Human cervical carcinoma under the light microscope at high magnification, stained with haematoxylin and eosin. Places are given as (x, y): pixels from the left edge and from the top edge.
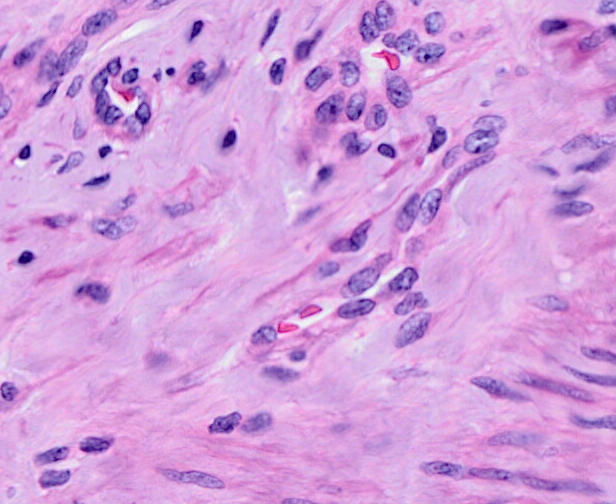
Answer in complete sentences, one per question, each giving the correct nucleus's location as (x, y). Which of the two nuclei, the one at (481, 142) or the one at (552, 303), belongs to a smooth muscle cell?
Of these two nuclei, only the one at (552, 303) belongs to a smooth muscle cell.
